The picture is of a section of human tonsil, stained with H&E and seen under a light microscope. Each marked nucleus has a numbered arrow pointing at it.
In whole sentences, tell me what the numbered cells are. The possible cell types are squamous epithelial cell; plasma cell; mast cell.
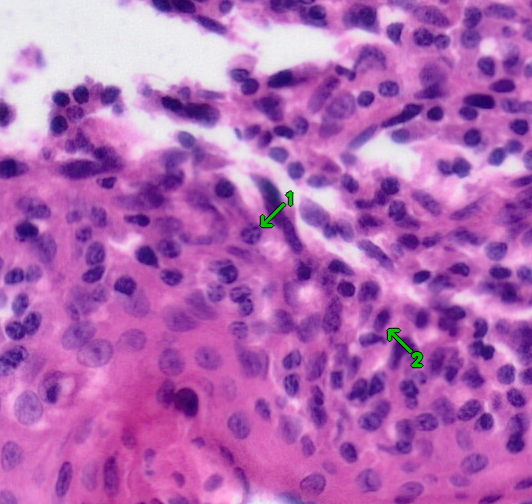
Cell 1 is a plasma cell and cell 2 is a squamous epithelial cell.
